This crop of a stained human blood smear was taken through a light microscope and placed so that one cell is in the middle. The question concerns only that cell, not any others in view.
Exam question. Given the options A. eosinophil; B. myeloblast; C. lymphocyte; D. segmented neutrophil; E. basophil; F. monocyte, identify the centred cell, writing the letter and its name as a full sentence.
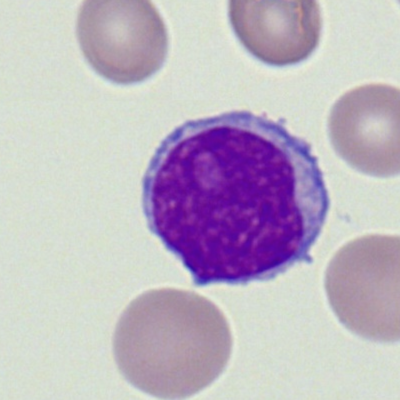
In the middle of the crop is a myeloblast; option B is therefore correct.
